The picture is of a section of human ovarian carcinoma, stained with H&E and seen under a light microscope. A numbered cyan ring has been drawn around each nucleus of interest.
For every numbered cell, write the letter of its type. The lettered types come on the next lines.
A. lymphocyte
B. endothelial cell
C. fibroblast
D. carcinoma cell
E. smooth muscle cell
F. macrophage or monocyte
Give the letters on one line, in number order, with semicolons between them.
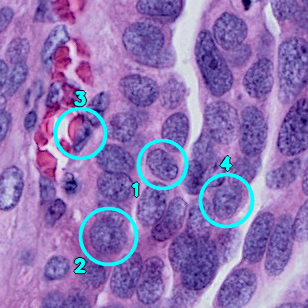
D; D; B; D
